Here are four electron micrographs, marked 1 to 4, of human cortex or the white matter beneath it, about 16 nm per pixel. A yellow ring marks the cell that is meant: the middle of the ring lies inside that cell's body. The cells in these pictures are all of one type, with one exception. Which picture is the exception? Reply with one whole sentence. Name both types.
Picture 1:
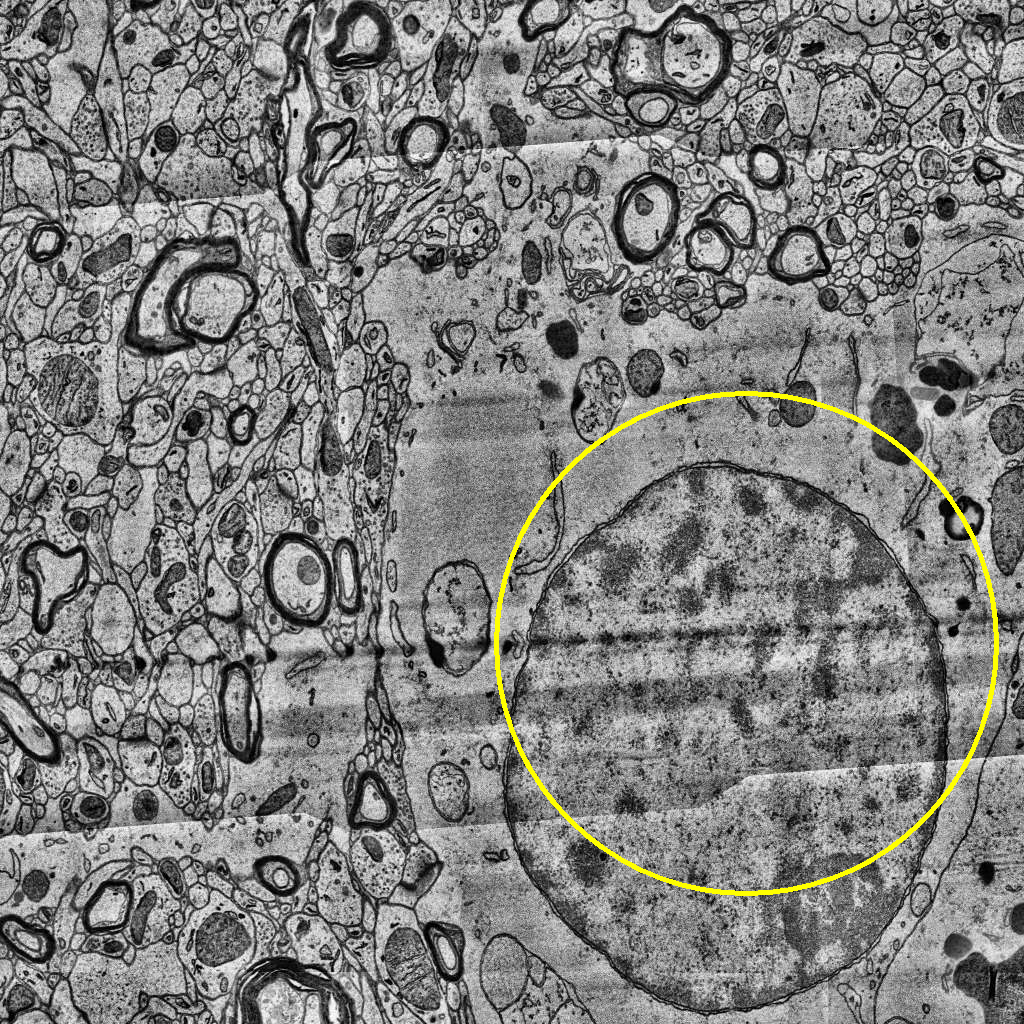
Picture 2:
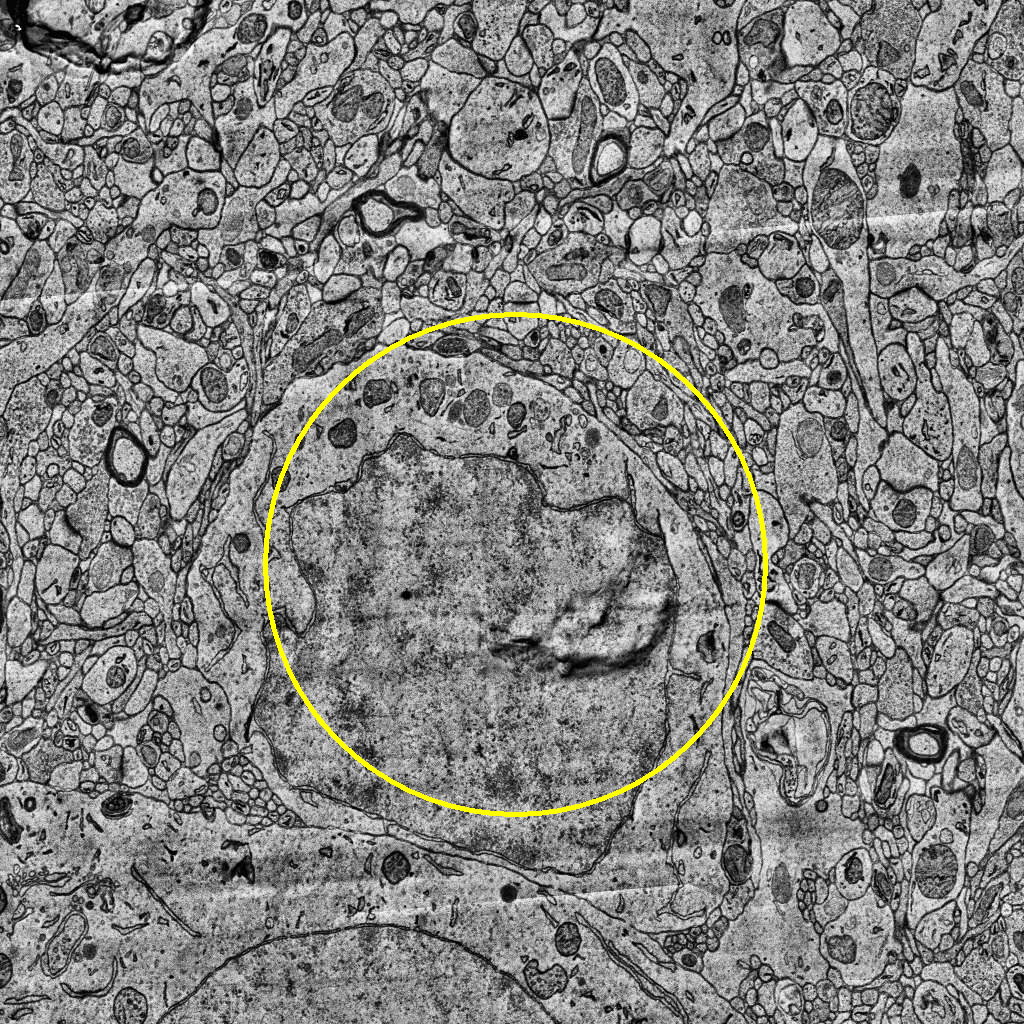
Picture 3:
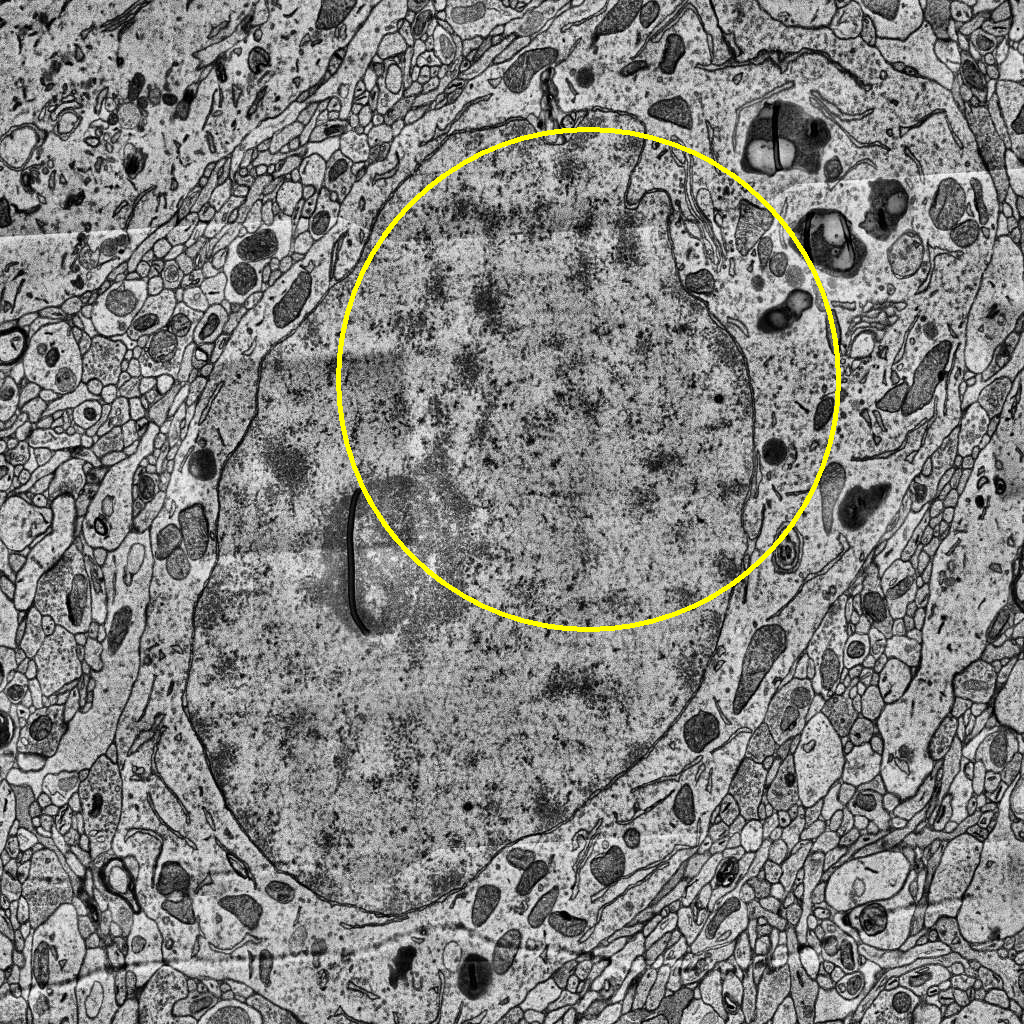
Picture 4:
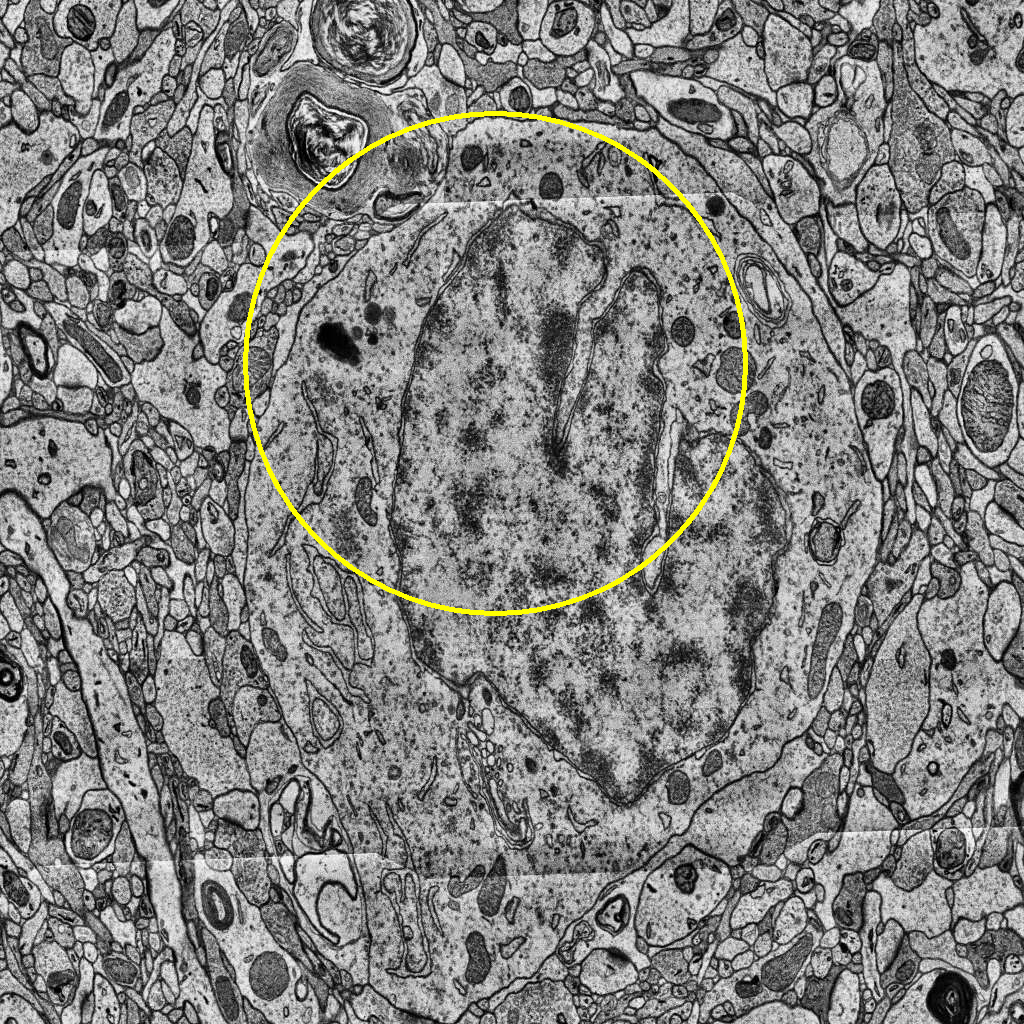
All pictures except 1 show interneurons; picture 1 shows an astrocyte.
